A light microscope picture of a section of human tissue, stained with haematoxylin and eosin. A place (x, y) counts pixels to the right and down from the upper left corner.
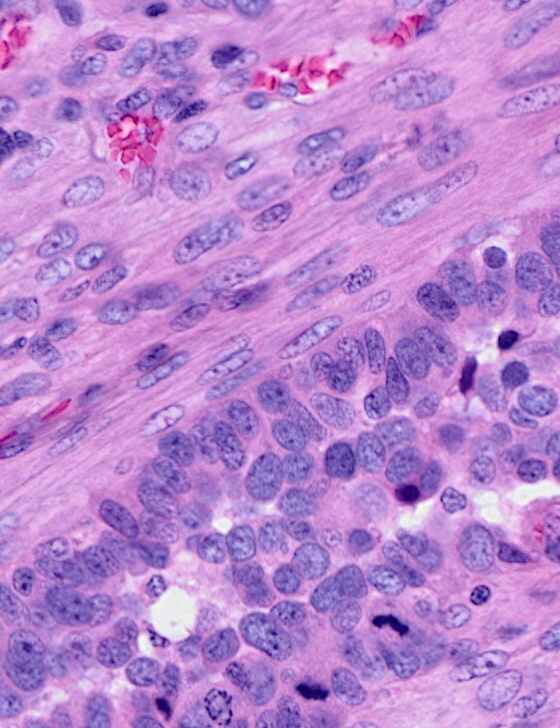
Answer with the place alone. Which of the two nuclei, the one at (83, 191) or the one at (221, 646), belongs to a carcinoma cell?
(221, 646)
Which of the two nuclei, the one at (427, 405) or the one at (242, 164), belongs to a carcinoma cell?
(427, 405)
